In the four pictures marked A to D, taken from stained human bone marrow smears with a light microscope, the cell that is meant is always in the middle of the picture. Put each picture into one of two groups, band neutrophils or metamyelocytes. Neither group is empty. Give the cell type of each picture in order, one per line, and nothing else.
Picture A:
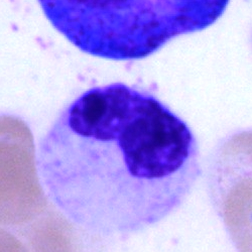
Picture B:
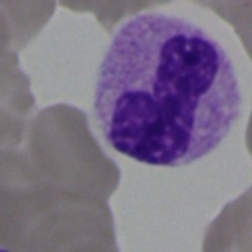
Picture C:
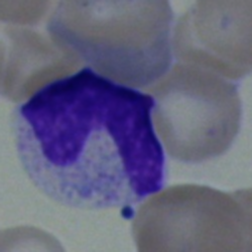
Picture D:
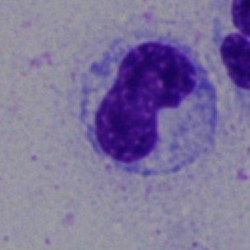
metamyelocyte
band neutrophil
band neutrophil
band neutrophil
